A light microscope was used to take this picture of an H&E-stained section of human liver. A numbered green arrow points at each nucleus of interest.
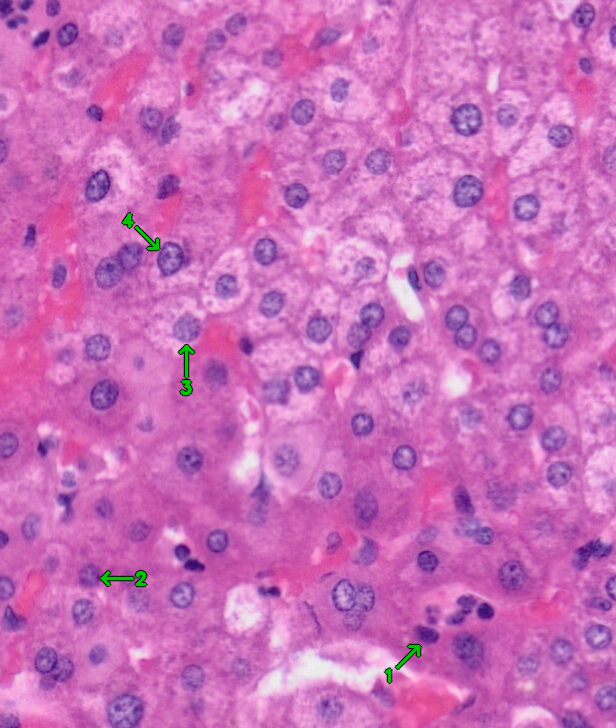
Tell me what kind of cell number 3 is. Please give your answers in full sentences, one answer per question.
The cell marked with number 3 is a hepatocyte.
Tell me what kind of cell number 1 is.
The cell whose nucleus carries the number 1 is a fibroblast or stellate cell.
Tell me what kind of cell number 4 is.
The cell pointed out as number 4 is a hepatocyte.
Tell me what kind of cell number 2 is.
Cell number 2 in this section is a hepatocyte.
